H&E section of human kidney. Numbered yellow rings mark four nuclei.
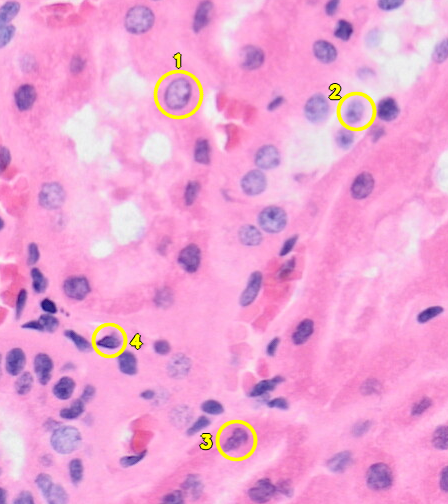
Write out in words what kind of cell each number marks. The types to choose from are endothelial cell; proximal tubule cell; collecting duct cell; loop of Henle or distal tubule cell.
Cells 1 and 3 are proximal tubule cells. Cell 2 is a loop of Henle or distal tubule cell. Cell 4 is an endothelial cell.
